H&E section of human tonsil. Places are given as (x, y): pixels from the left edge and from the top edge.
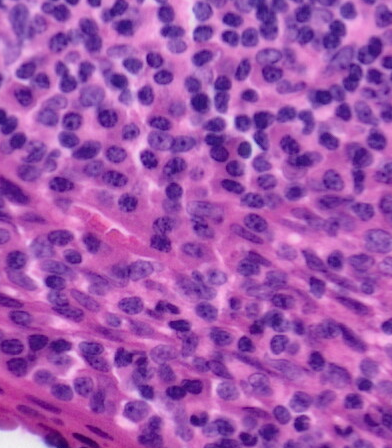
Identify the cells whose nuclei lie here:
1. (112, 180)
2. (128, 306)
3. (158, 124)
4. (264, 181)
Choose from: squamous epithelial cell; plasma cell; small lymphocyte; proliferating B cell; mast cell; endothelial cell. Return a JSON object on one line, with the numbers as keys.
{"1": "plasma cell", "2": "squamous epithelial cell", "3": "plasma cell", "4": "plasma cell"}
